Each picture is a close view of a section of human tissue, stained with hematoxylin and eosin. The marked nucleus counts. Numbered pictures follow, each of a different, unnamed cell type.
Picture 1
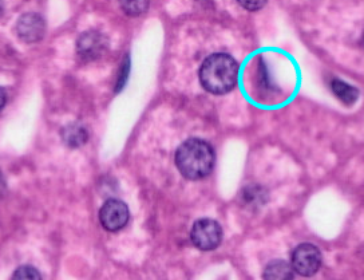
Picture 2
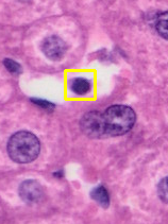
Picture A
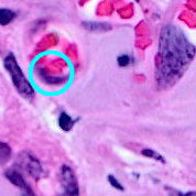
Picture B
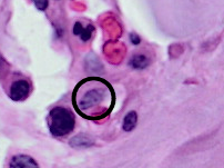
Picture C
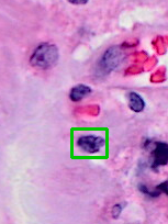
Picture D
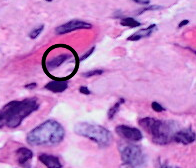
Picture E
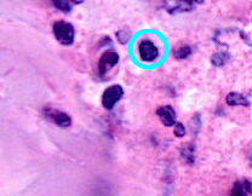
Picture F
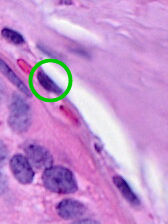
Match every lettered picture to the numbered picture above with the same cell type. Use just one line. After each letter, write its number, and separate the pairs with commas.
A 1, B 1, C 2, D 1, E 2, F 1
